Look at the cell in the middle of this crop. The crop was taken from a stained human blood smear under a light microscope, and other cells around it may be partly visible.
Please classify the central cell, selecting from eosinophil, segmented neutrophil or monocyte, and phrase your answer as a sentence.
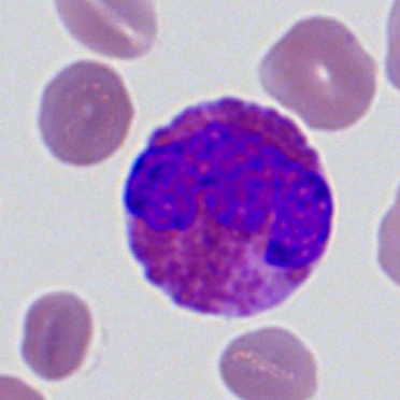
Here the cell in the middle is an eosinophil.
